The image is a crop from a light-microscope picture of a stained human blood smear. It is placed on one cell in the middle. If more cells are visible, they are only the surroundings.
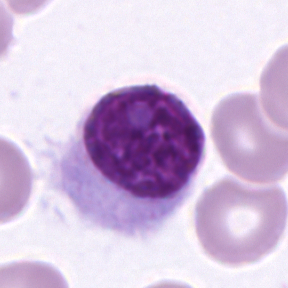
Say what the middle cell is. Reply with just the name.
plasma cell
